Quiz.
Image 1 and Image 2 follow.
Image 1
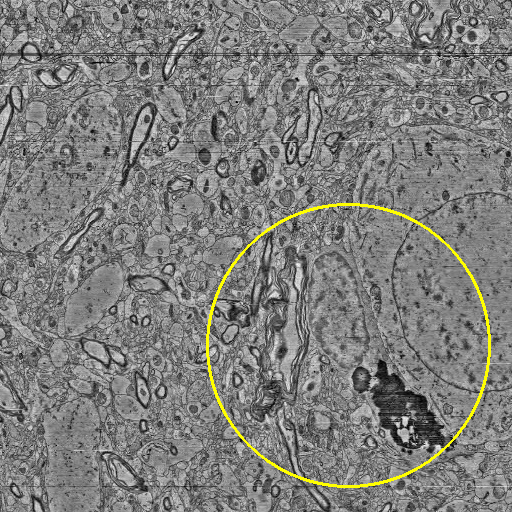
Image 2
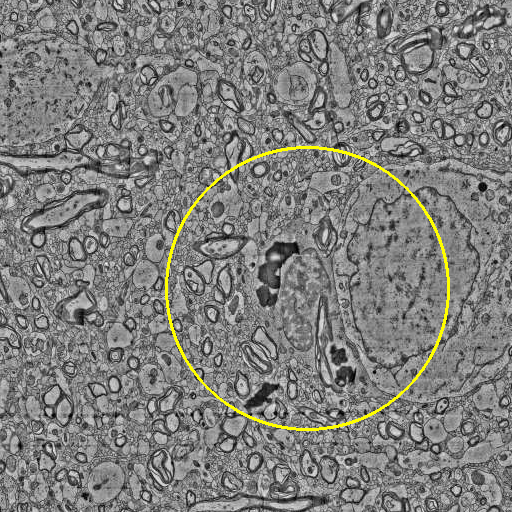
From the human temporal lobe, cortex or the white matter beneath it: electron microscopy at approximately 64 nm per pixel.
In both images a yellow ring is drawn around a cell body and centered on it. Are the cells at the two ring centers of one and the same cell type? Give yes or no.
yes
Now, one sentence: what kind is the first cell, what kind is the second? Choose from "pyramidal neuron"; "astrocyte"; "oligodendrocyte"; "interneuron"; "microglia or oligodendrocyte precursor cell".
Both the first and the second picture show an oligodendrocyte in the ring.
